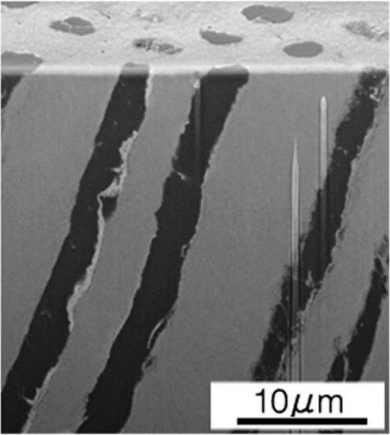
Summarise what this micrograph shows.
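Dentin matrix is cut to show dentinal tubules running as long, parallel, oblique channels through a smooth grey matrix. The tubules appear as dark bands of fairly even width, some with ragged pale edges. Above, the block surface shows scattered dark oval openings.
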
